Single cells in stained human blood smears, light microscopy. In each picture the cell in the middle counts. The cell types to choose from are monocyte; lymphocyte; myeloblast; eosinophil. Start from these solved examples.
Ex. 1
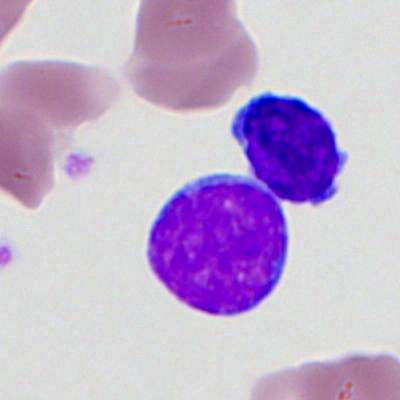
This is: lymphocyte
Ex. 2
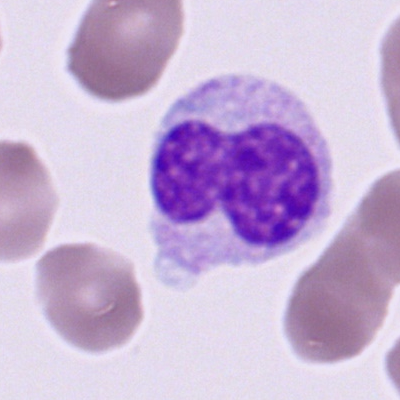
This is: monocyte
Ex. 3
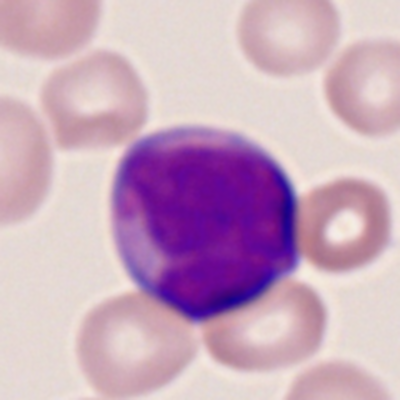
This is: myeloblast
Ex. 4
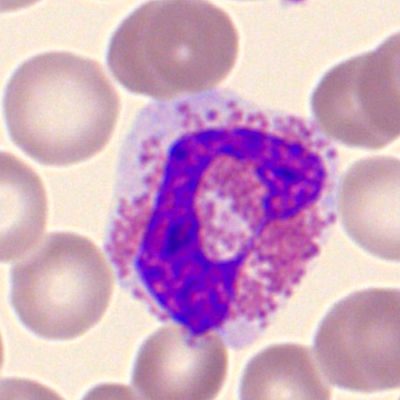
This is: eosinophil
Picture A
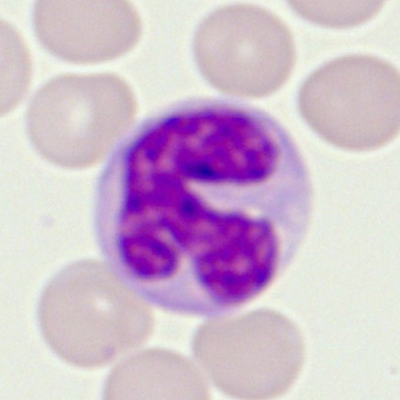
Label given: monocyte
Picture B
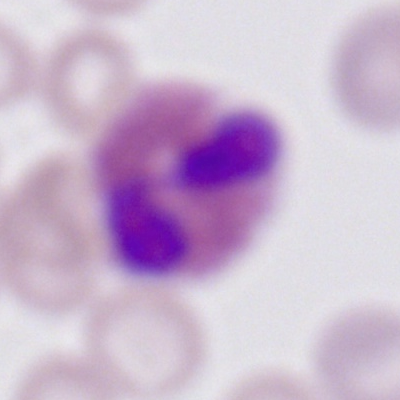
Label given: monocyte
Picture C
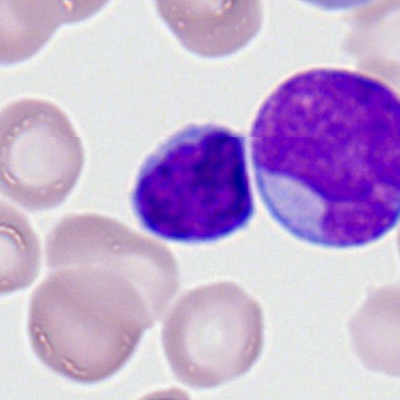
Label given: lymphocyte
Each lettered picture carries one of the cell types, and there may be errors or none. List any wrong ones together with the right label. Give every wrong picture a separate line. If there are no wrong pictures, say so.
B: change monocyte to eosinophil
